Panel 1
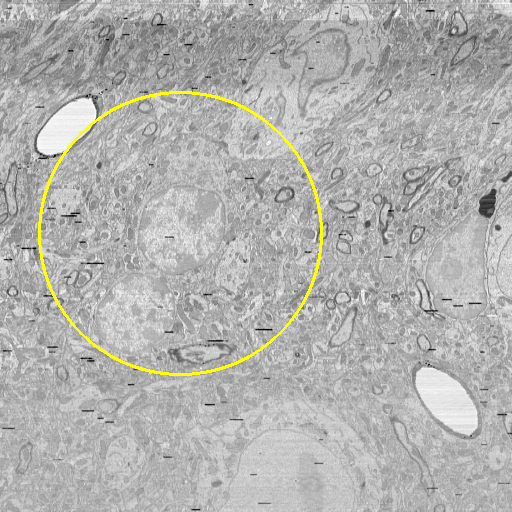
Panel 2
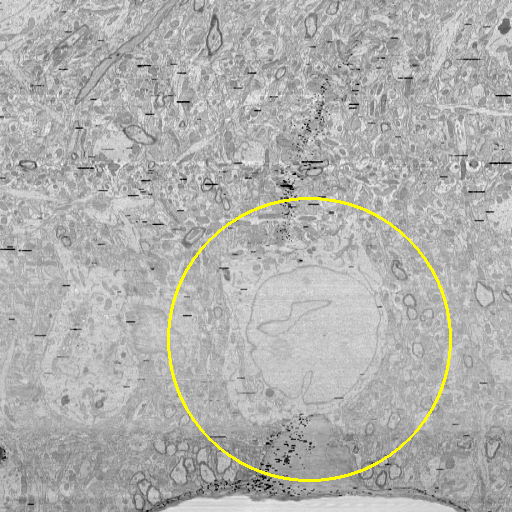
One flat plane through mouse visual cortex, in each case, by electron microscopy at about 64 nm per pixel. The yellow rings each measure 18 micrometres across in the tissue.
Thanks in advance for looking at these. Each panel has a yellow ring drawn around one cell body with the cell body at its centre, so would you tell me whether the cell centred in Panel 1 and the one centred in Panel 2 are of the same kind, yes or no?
no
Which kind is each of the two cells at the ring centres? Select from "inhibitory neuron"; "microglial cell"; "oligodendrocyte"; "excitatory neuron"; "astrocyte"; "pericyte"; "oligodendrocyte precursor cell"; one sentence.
The cell at the centre of the ring is an oligodendrocyte in the first picture and an excitatory neuron in the second.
